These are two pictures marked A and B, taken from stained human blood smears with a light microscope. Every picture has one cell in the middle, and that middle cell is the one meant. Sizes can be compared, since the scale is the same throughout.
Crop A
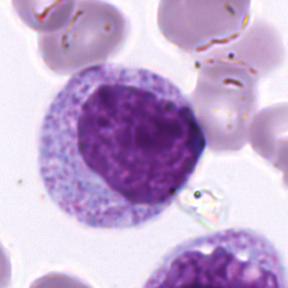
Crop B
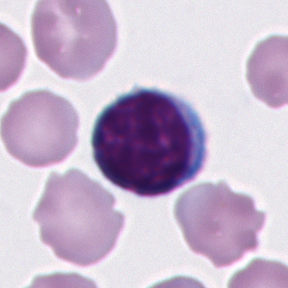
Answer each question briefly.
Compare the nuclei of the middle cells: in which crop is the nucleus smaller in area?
B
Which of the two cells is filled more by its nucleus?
B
